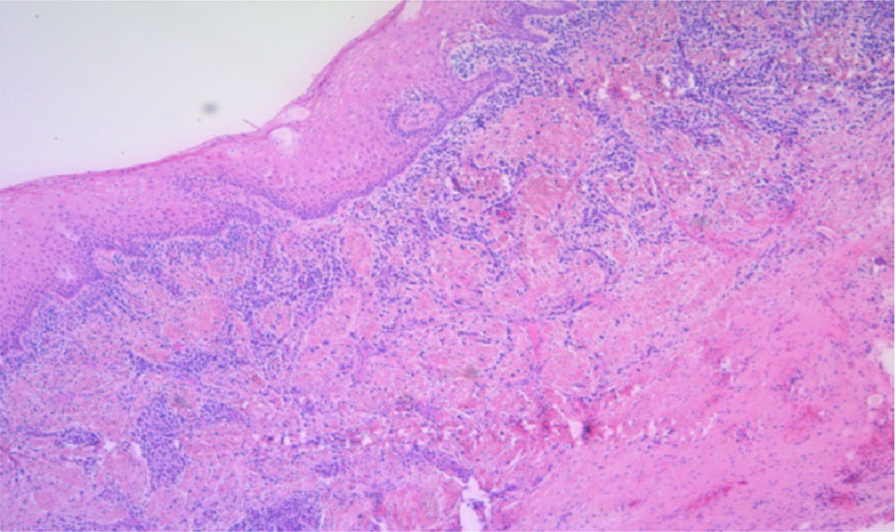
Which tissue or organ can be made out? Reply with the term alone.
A: Stratified epithelium.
